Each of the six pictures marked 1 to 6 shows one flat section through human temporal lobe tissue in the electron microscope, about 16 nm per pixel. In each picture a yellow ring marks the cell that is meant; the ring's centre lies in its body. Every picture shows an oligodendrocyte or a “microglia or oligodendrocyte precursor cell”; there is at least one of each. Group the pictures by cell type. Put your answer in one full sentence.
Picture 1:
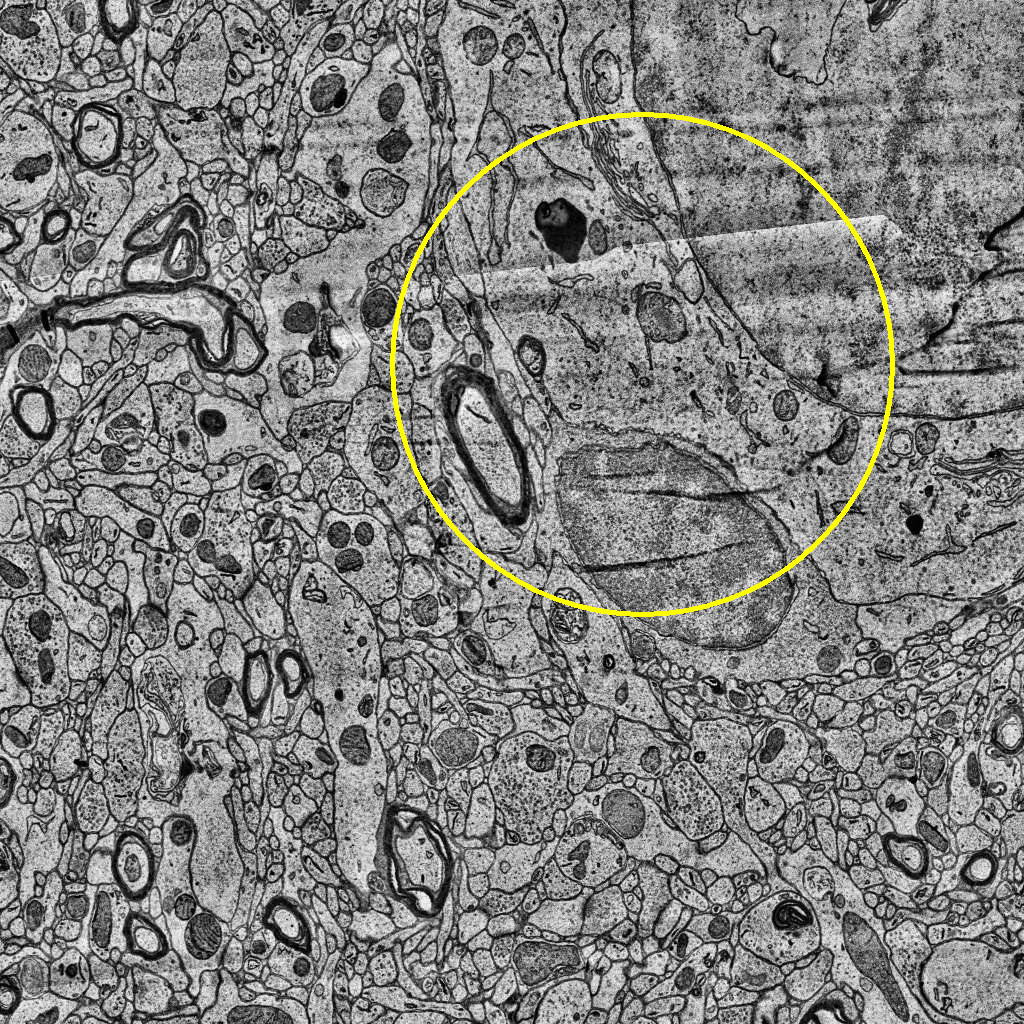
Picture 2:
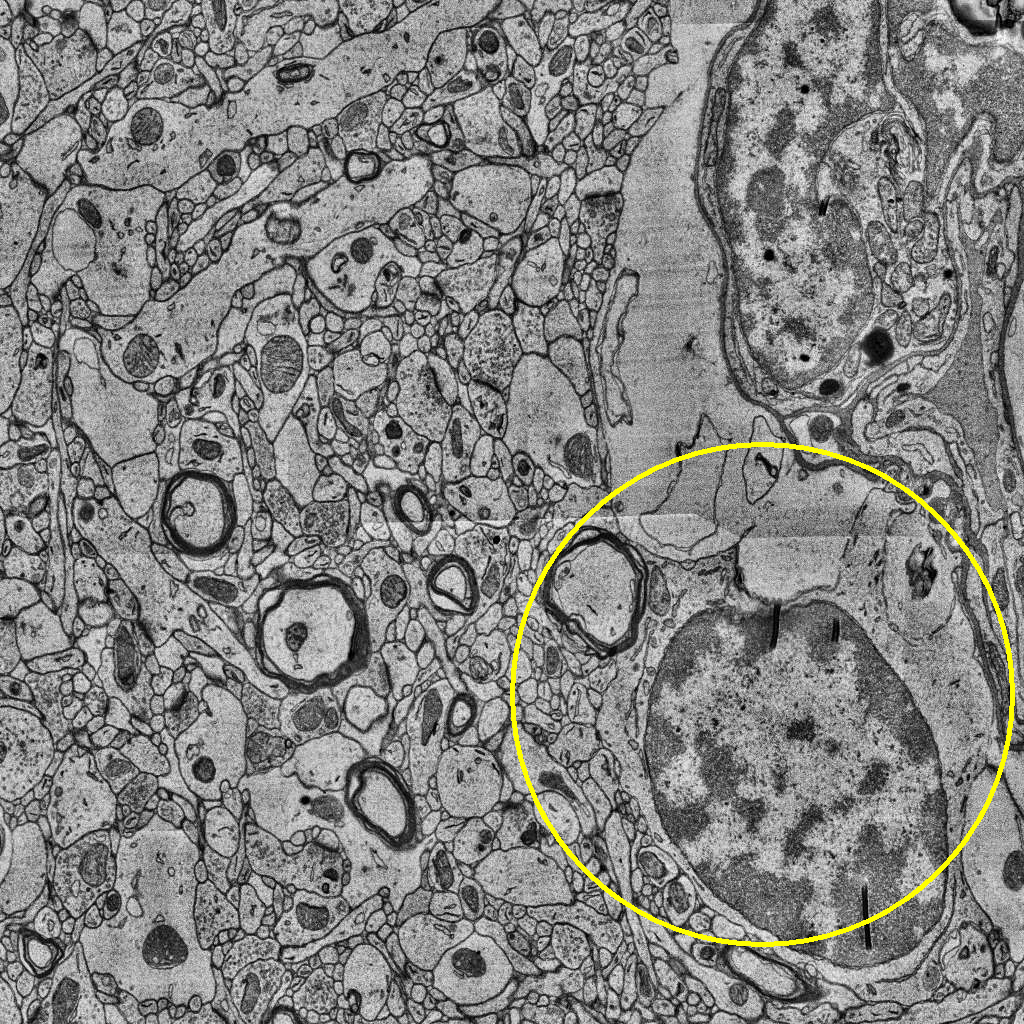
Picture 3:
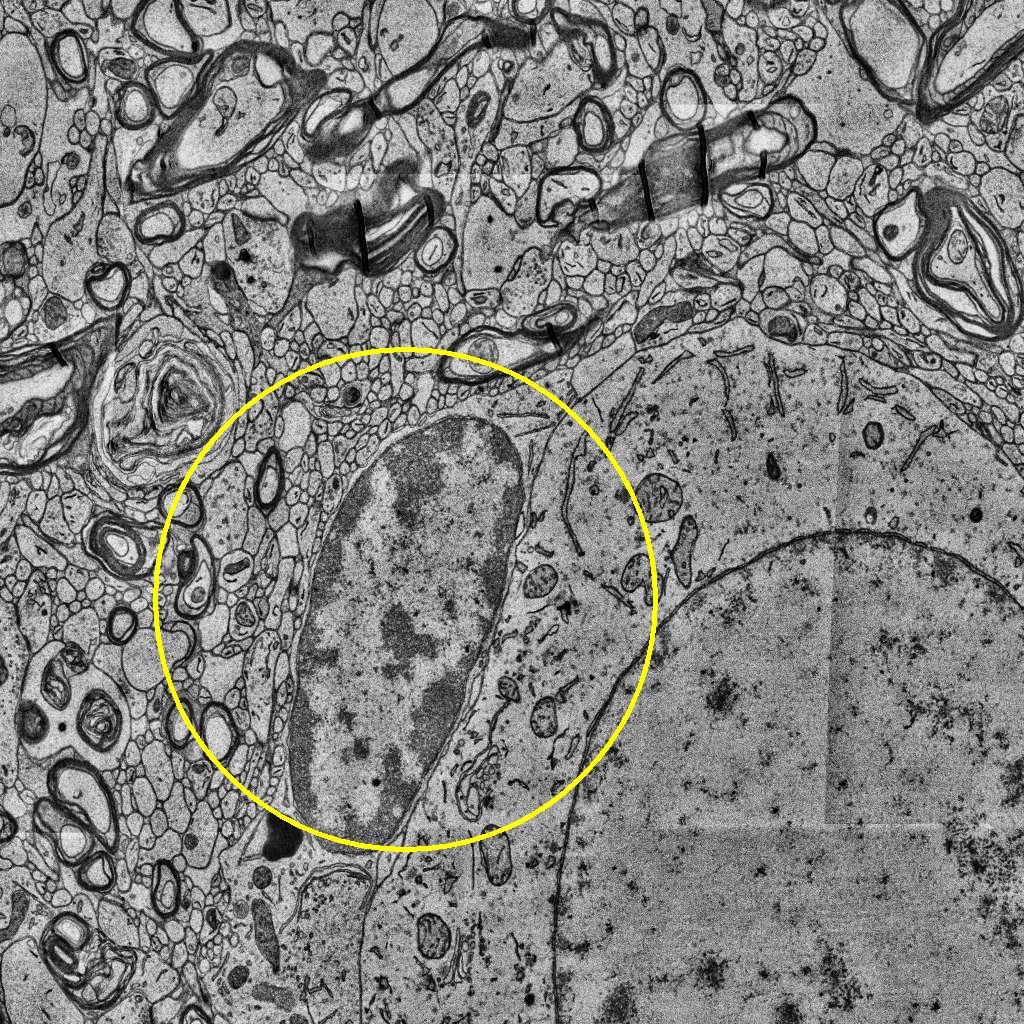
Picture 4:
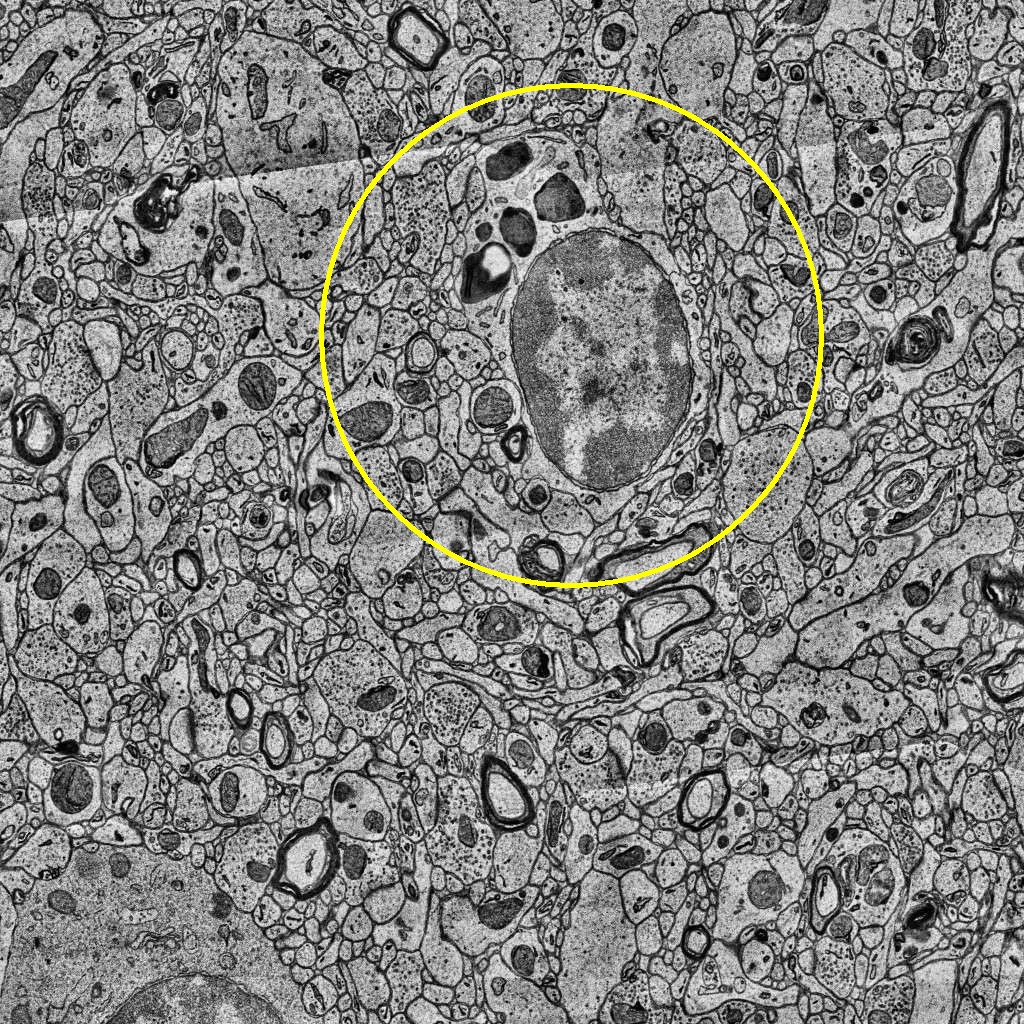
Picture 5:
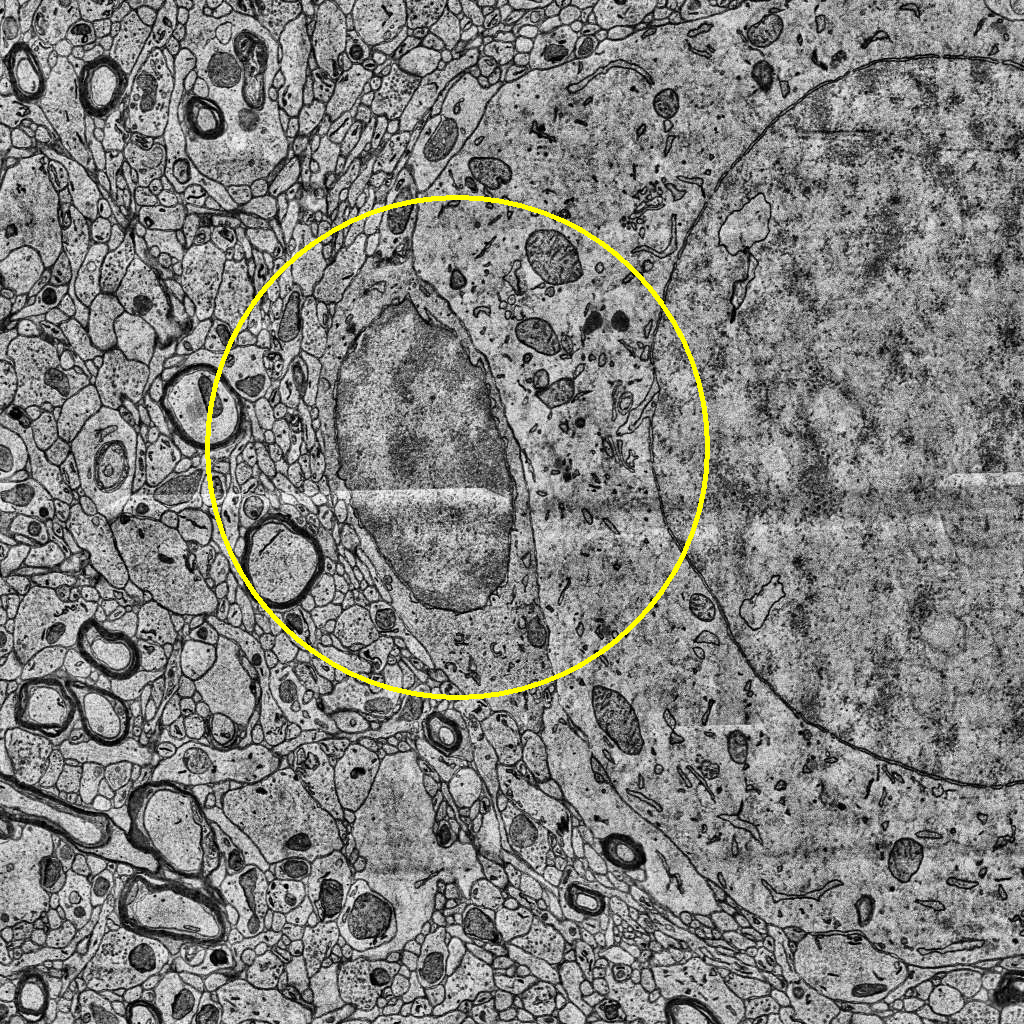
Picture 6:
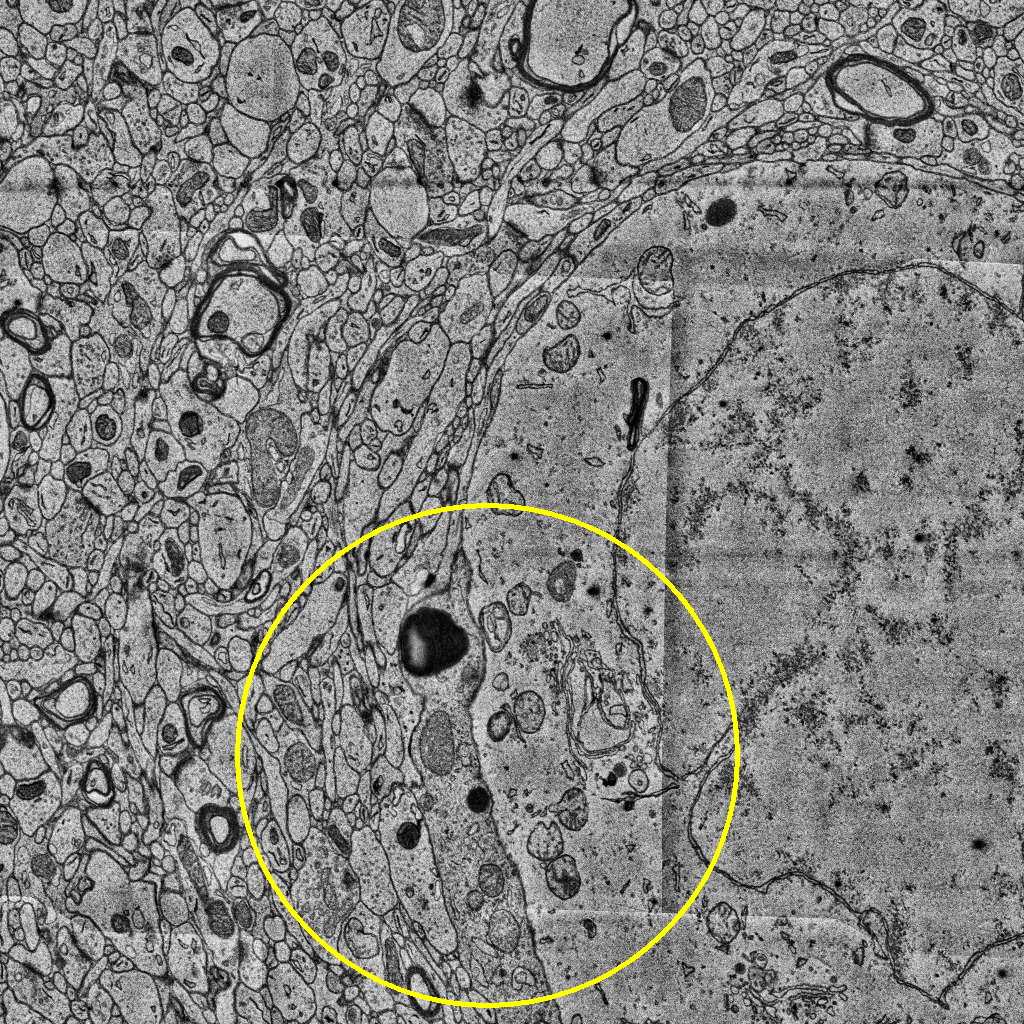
Pictures 1, 5 and 6 show oligodendrocytes; pictures 2, 3 and 4 show “microglia or oligodendrocyte precursor cells”.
